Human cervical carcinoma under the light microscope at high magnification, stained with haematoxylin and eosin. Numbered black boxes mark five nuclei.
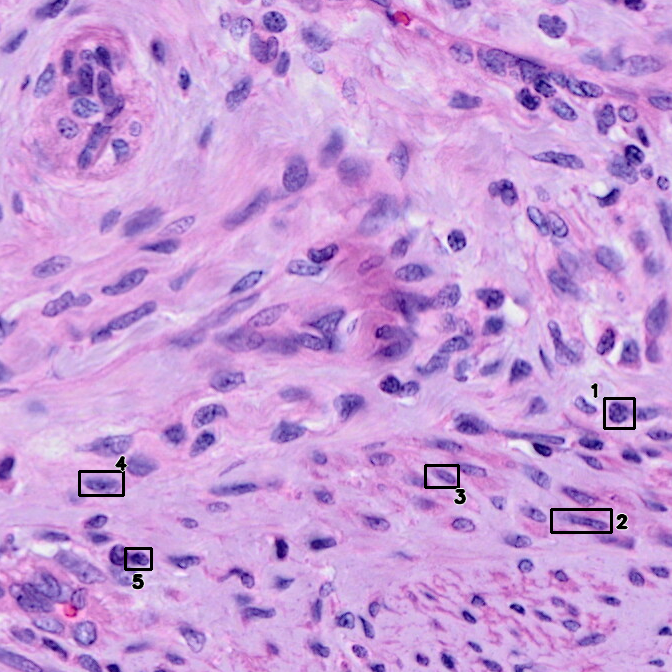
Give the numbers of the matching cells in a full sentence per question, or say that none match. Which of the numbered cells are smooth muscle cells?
On this slide, the cells numbered 2 and 3 are smooth muscle cells.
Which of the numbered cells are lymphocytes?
To be specific, the cells numbered 1 and 5 are lymphocytes.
